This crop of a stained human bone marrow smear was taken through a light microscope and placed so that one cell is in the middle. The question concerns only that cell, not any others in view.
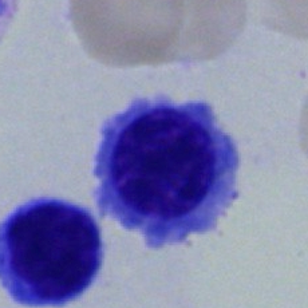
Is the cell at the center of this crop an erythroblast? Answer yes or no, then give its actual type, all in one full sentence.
Yes, the cell positioned in the middle is an erythroblast.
